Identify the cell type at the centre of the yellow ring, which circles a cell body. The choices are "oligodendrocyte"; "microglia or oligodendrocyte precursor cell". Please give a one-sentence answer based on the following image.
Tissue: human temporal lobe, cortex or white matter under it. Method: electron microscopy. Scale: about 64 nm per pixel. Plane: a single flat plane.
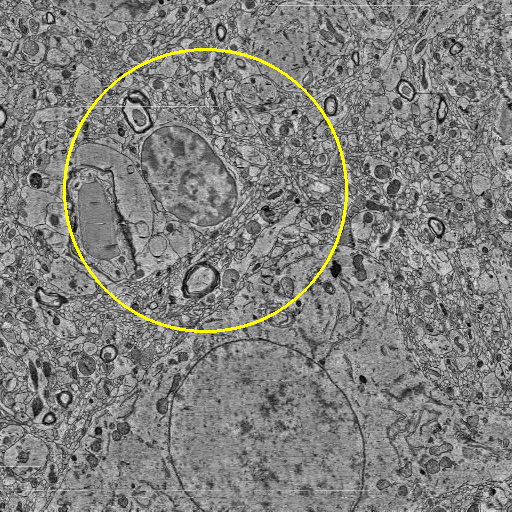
The cell marked by the ring is a microglial cell or oligodendrocyte precursor cell.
